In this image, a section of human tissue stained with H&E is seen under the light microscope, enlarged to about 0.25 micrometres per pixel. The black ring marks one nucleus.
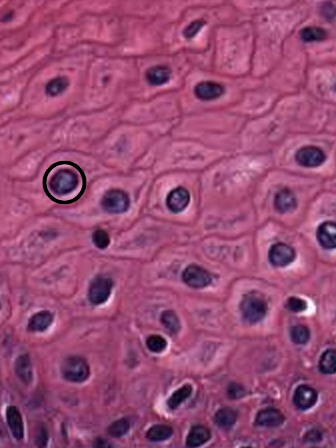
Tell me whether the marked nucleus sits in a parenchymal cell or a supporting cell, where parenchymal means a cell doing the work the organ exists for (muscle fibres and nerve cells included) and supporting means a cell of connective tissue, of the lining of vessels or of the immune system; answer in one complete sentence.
The nucleus marked here belongs to a parenchymal cell, namely a squamous epithelial cell.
